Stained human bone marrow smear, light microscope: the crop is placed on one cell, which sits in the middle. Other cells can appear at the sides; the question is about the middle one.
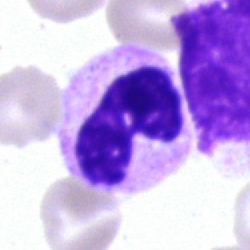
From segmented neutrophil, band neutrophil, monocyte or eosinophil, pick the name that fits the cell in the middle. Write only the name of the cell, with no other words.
segmented neutrophil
